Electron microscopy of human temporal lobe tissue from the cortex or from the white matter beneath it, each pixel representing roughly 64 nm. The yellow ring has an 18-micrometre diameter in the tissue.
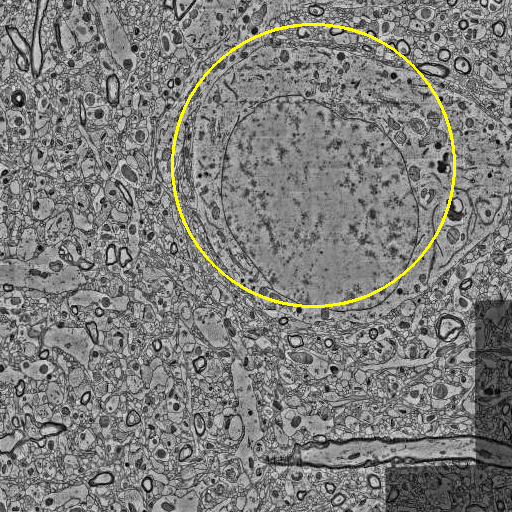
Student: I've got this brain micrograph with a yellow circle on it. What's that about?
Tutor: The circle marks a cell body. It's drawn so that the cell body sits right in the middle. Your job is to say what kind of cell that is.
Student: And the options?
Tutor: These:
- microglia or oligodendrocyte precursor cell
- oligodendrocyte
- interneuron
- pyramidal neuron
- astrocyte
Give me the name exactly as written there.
pyramidal neuron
